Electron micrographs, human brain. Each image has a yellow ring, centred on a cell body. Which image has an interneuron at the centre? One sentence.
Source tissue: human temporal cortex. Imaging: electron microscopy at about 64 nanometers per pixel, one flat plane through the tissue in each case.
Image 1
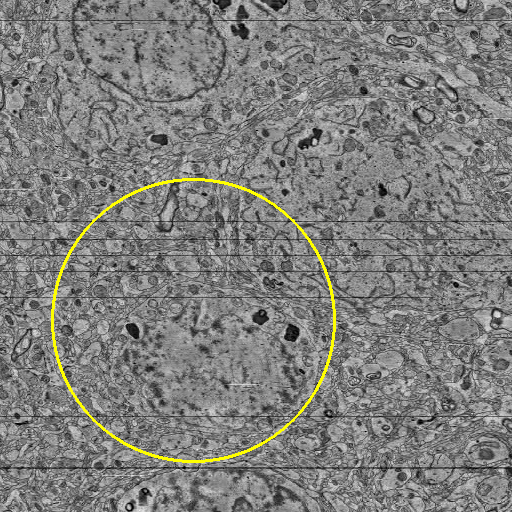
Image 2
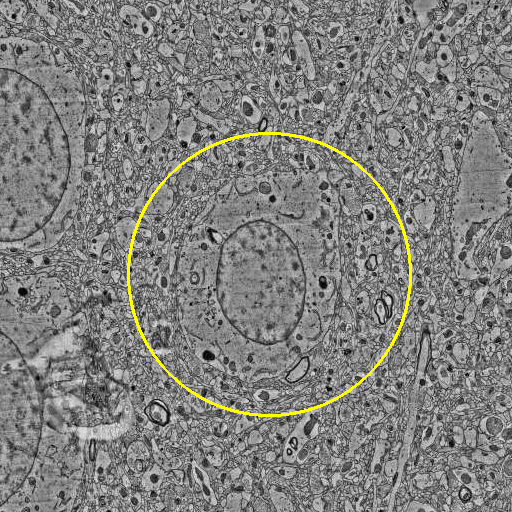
The ring in Image 1 is centred on it.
